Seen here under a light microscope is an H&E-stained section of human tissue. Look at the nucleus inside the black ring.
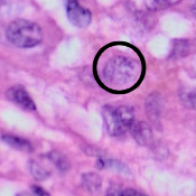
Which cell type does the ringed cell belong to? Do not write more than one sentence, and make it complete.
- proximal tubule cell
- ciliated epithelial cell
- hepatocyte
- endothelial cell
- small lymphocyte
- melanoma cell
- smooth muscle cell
Among the cells in this section, the ringed cell is a melanoma cell.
